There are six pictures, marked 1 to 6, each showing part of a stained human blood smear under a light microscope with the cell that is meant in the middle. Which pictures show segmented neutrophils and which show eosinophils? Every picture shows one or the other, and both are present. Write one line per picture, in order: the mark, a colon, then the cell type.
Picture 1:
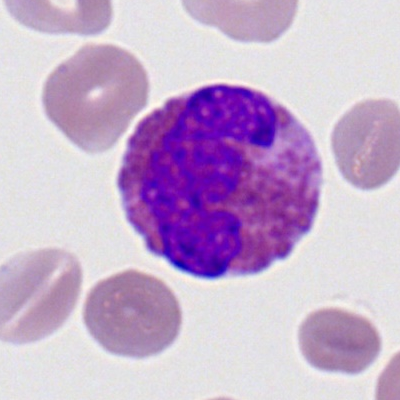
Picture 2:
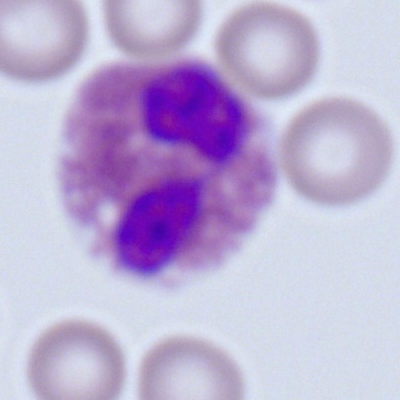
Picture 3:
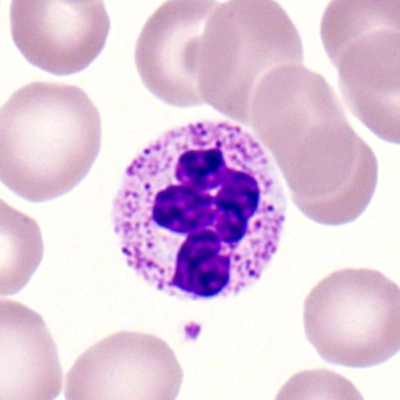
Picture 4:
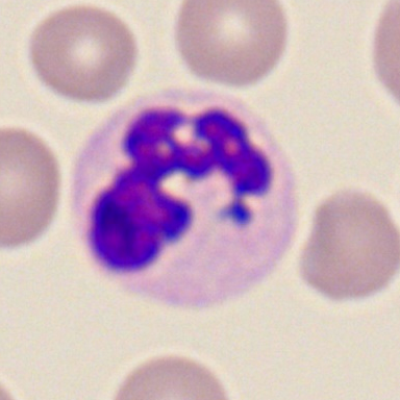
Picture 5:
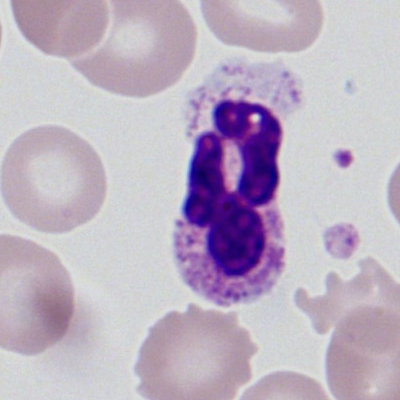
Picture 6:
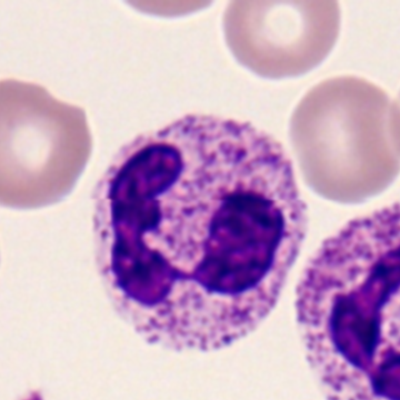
1: eosinophil
2: eosinophil
3: segmented neutrophil
4: segmented neutrophil
5: segmented neutrophil
6: segmented neutrophil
